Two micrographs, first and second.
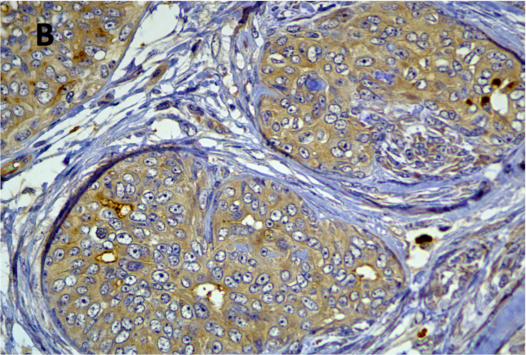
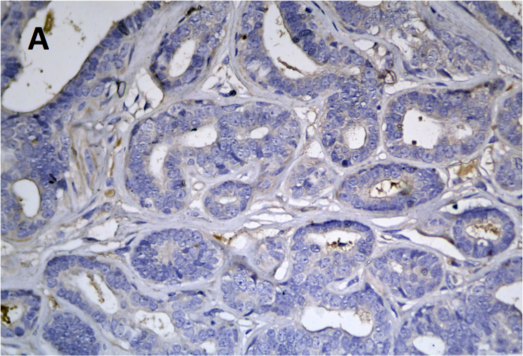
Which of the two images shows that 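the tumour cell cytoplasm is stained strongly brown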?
The first image.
